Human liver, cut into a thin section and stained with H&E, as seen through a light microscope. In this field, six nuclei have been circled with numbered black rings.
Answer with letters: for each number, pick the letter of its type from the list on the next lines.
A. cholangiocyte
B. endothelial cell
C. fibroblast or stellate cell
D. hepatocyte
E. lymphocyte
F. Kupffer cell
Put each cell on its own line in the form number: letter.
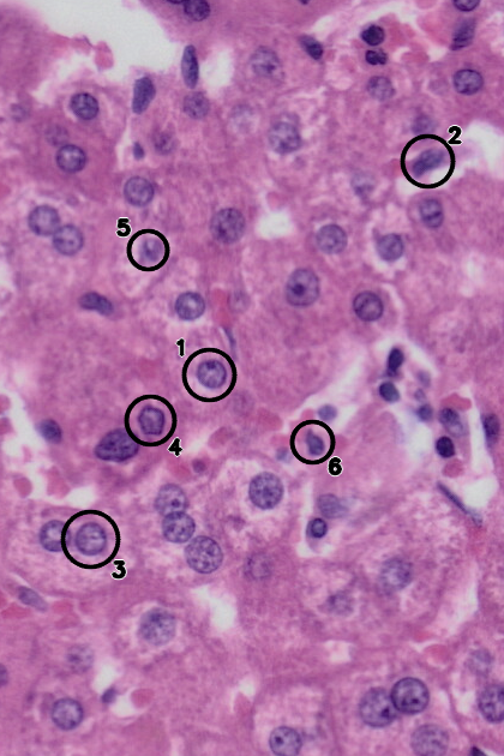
1: D
2: F
3: D
4: D
5: D
6: E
